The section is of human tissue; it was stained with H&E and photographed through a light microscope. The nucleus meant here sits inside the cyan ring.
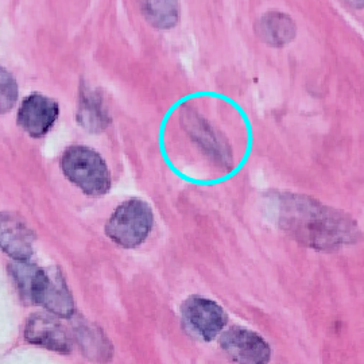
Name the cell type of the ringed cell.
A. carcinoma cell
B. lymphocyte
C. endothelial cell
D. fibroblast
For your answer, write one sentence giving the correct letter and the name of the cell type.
Option D is accurate, for the ringed cell is a fibroblast.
